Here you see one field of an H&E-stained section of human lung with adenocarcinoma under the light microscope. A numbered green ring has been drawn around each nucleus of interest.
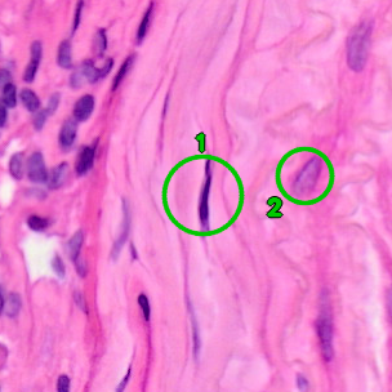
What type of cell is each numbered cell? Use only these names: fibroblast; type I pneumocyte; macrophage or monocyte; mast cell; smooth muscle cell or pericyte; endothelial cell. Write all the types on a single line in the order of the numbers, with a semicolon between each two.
fibroblast; smooth muscle cell or pericyte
